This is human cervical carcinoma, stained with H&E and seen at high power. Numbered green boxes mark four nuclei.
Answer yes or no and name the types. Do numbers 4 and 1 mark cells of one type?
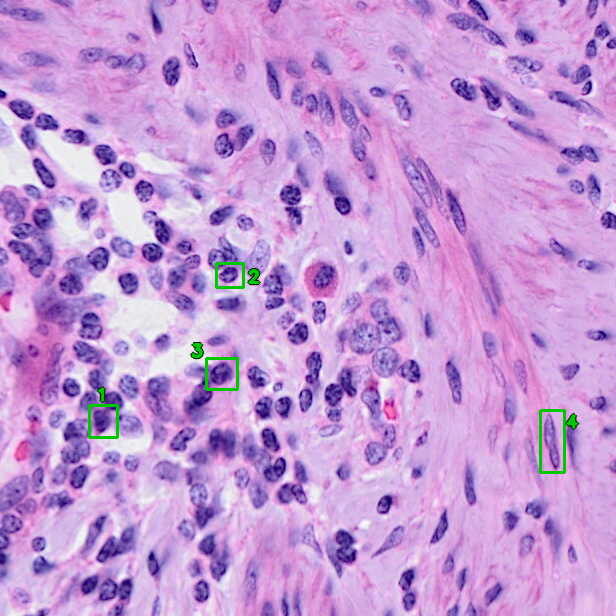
No, cell 4 is a smooth muscle cell and cell 1 is a lymphocyte.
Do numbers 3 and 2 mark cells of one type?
Yes, both are lymphocytes.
